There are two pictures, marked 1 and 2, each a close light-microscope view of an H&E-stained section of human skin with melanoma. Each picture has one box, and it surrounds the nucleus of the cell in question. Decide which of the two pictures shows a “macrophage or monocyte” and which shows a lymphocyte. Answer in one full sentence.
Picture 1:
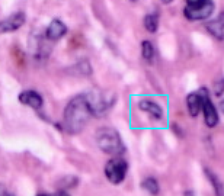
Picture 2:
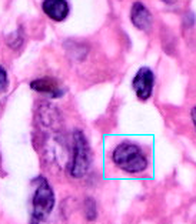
It is picture 1 that shows a lymphocyte, and picture 2 that shows a “macrophage or monocyte”.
